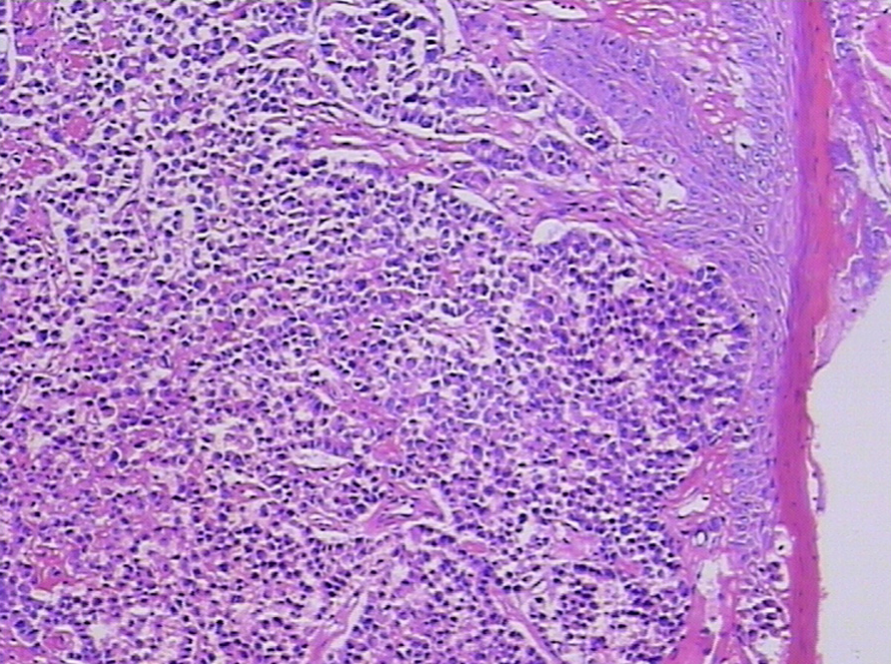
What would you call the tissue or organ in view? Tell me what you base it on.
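Surface squamous epithelium. Along the right edge runs a band of layered epithelial cells. A dense pink layer caps this band at the surface next to the empty white space.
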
